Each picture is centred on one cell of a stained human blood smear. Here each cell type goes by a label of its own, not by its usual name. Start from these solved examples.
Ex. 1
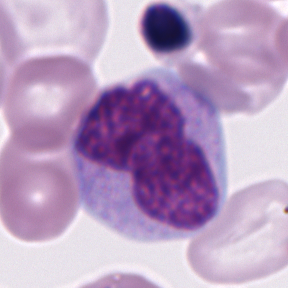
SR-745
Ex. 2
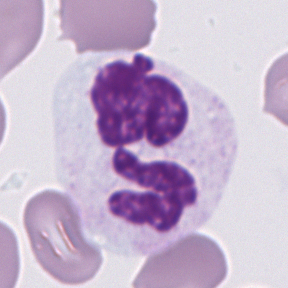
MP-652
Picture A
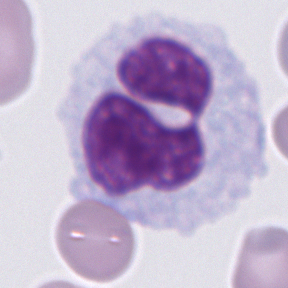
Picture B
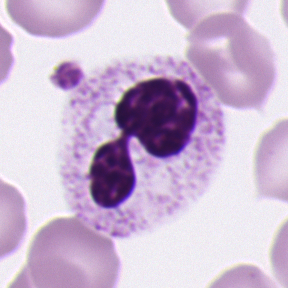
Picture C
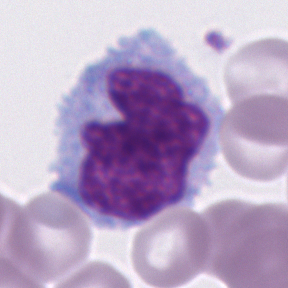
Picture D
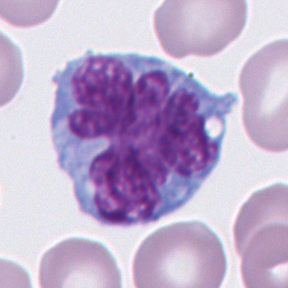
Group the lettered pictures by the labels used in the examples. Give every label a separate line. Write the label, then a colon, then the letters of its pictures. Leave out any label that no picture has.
SR-745: A, C, D
MP-652: B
